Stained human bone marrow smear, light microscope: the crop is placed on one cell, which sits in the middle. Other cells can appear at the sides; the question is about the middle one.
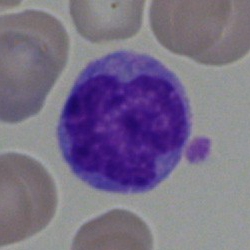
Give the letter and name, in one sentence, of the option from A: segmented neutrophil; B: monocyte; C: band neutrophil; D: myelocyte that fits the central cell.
The right choice is option B: the cell in the middle is a monocyte.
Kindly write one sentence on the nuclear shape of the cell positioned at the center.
In this cell the nucleus is a solitary compact mass, round, oval or kidney-shaped.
